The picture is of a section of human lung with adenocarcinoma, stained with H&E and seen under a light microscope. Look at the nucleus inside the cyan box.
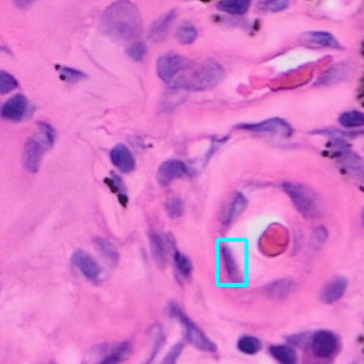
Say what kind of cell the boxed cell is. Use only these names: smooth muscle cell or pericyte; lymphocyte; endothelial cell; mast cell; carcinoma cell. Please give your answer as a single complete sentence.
Assigned to a cell type, the boxed cell is an endothelial cell.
